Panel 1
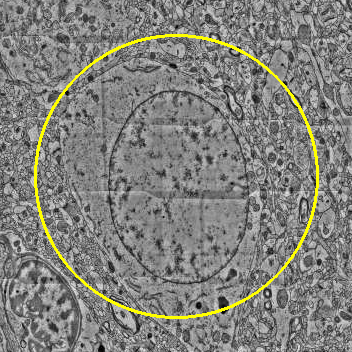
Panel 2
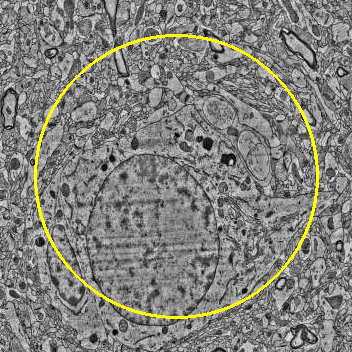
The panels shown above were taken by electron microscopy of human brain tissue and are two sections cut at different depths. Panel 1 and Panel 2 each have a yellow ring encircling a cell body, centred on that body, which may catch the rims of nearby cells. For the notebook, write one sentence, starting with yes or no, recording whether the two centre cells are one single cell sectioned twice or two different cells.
No, a single cell is not marked twice here; two cells are marked.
